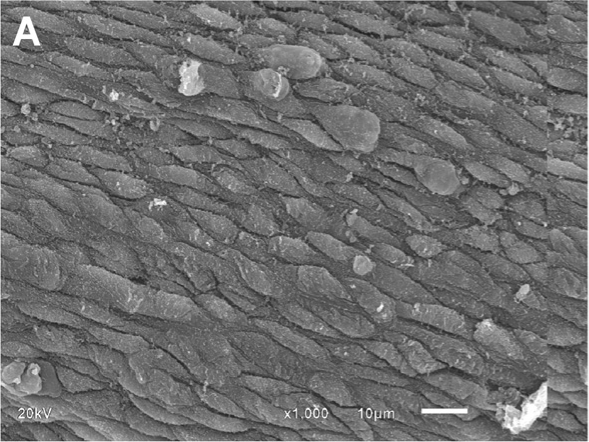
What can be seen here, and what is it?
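This is the luminal surface of the vascular endothelium, seen from above as a sheet of flattened endothelial cells. The cells are elongated and spindle-shaped, with tapered ends, and overlap one another like scales. Nearly all of them run parallel in one diagonal direction across the field, giving the surface a regular, streaked texture. The cell borders show as fine ridges and clefts between neighbouring cells. A few small rounded bodies and irregular fragments of debris lie scattered on top of the surface. No raised or confluent patches interrupt the pattern.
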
